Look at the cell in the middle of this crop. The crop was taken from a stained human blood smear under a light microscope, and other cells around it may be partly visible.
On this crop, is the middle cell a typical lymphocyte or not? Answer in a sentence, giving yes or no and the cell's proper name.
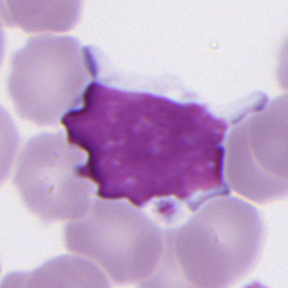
Yes, the cell at the middle is a typical lymphocyte.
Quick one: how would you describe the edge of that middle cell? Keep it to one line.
Irregular and not smooth, the cell boundary is ragged or drawn out into projections.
